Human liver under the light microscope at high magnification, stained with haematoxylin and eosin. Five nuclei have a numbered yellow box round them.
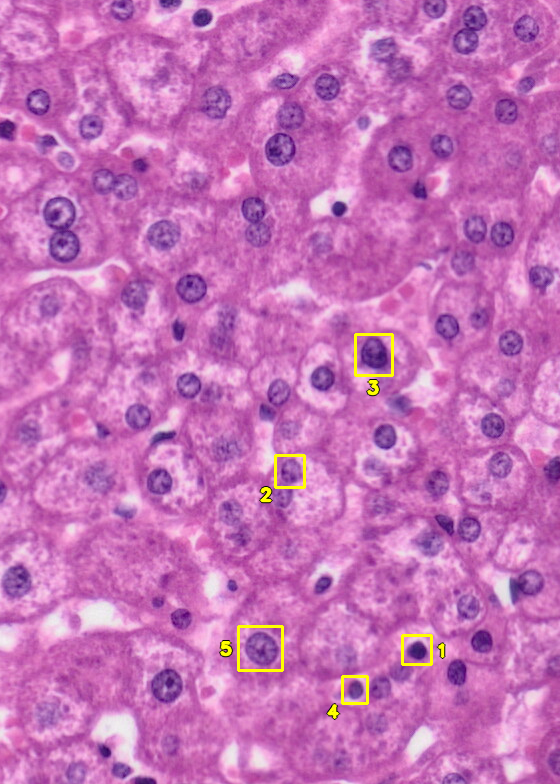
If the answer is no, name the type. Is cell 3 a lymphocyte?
No, it is a hepatocyte.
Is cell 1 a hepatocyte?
No, it is a lymphocyte.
